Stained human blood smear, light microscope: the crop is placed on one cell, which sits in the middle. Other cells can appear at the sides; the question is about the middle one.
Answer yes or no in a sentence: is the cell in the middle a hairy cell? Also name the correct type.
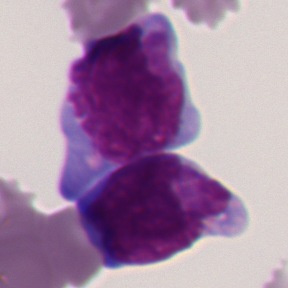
No, rather than a hairy cell, the central cell is a myeloblast.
